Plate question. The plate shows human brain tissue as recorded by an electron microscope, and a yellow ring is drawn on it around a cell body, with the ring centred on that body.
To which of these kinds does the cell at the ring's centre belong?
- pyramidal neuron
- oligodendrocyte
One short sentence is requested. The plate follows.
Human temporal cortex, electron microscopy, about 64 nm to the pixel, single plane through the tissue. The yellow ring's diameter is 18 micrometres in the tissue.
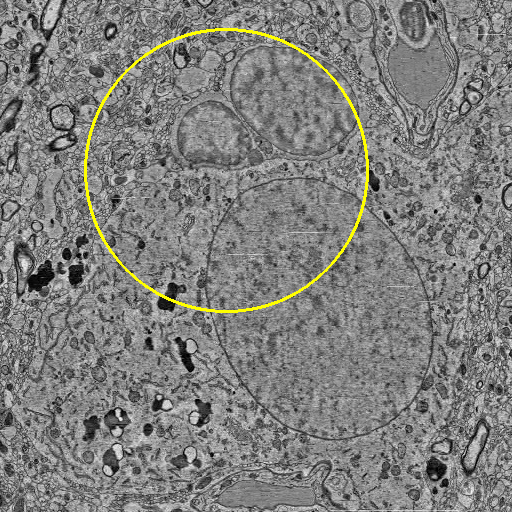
The cell at the ring's centre is an oligodendrocyte.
